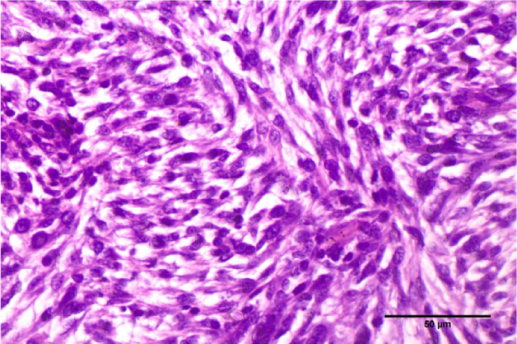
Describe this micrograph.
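Tumour cells are mostly spindle-shaped and arranged in interlacing, streaming bundles. Their nuclei are elongated and purple, lying in pink fibrillar cytoplasm drawn out along the direction of the bundles.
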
